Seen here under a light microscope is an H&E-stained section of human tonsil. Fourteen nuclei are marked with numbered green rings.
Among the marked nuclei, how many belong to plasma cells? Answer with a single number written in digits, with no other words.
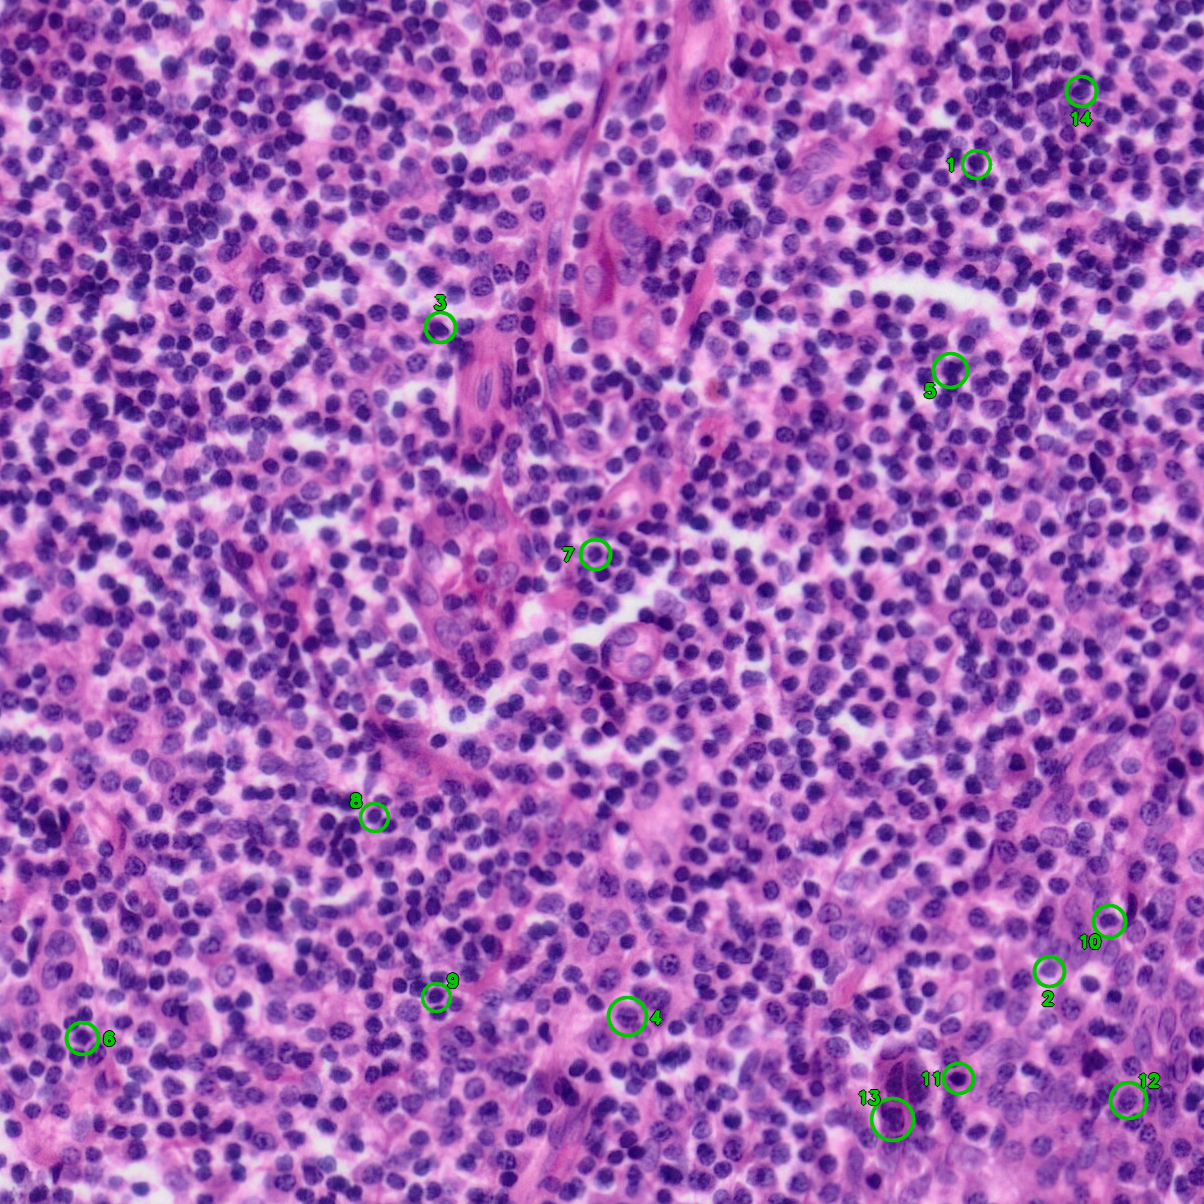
3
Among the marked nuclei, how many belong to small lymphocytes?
8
